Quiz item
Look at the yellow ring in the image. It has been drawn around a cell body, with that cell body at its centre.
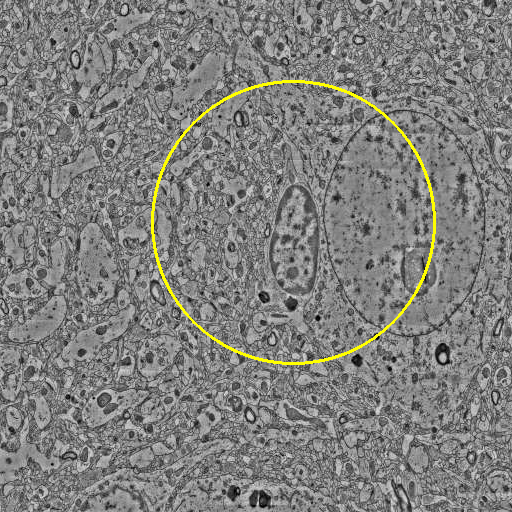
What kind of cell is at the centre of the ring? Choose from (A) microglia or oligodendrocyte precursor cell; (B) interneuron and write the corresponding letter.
A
